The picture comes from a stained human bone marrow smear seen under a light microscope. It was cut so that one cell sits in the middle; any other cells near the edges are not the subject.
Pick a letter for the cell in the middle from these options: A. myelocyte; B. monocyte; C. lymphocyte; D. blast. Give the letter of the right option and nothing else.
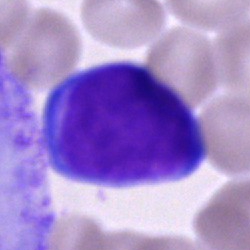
D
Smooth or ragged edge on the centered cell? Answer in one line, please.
Around its whole circumference the outline stays smooth, free of projections.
